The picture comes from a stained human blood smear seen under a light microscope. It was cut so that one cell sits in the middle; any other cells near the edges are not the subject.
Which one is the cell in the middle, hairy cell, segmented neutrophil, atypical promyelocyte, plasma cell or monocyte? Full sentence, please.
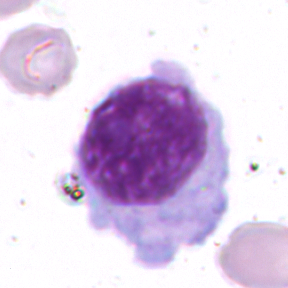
The cell that lies at the centre of the crop is a plasma cell.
